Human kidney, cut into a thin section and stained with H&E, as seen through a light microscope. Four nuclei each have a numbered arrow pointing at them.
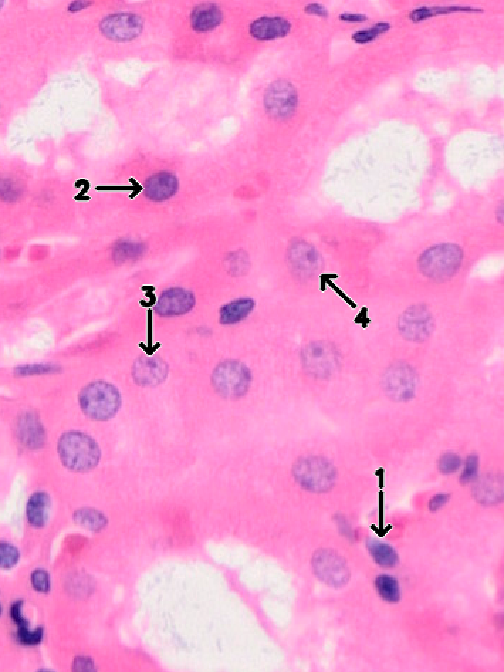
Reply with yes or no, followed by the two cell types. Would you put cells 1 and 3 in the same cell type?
No, cell 1 is an endothelial cell and cell 3 is a proximal tubule cell.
